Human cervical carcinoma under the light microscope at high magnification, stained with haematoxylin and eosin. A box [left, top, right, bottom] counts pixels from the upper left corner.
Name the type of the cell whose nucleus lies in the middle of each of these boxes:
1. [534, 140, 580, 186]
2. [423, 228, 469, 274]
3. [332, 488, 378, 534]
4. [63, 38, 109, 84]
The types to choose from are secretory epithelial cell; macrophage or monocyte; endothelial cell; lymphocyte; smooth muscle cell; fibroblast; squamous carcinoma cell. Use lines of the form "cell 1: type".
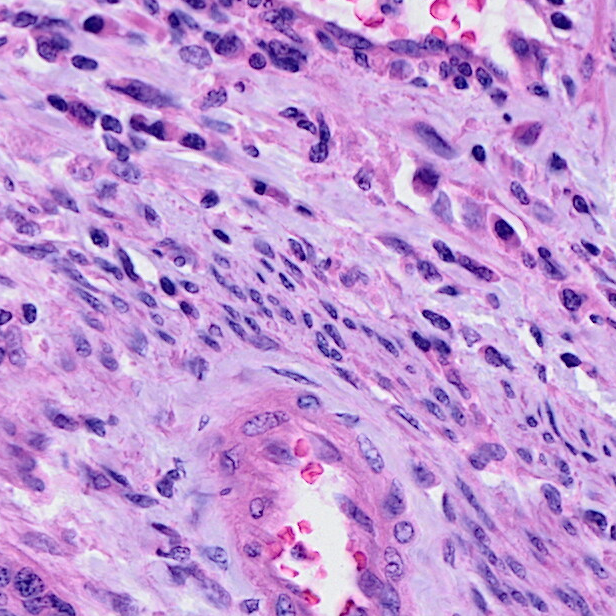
cell 1: lymphocyte
cell 2: lymphocyte
cell 3: endothelial cell
cell 4: lymphocyte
